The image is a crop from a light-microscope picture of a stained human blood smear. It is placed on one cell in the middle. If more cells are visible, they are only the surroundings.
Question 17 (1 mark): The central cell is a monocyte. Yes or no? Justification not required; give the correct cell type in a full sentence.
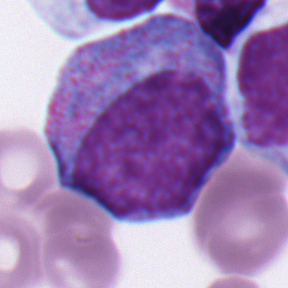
No, the cell under consideration is a promyelocyte instead of a monocyte.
